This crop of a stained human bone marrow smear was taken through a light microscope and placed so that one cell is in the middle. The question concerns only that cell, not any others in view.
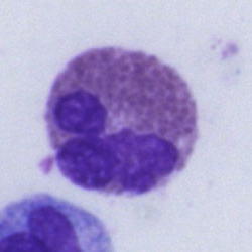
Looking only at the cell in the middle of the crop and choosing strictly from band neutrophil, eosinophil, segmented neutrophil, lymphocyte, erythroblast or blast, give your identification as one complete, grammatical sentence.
Standing at the centre of this crop is an eosinophil.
